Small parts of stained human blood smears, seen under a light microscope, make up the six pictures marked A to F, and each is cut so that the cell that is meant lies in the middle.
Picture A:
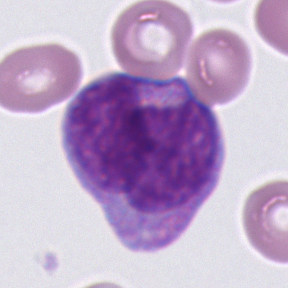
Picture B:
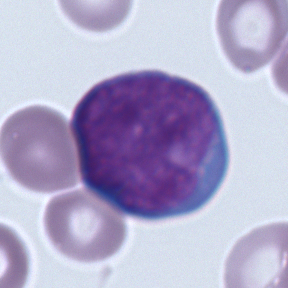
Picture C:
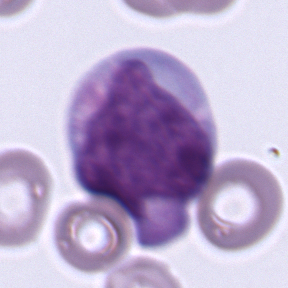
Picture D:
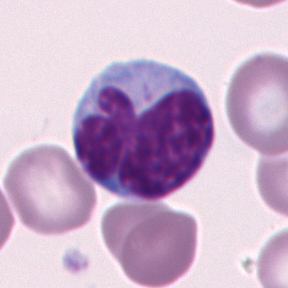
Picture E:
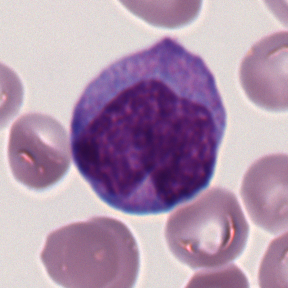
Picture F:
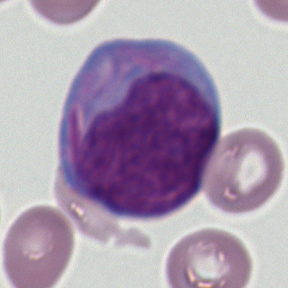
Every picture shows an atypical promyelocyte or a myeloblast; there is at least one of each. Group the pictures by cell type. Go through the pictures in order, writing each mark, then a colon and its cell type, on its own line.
A: atypical promyelocyte
B: myeloblast
C: atypical promyelocyte
D: myeloblast
E: atypical promyelocyte
F: atypical promyelocyte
